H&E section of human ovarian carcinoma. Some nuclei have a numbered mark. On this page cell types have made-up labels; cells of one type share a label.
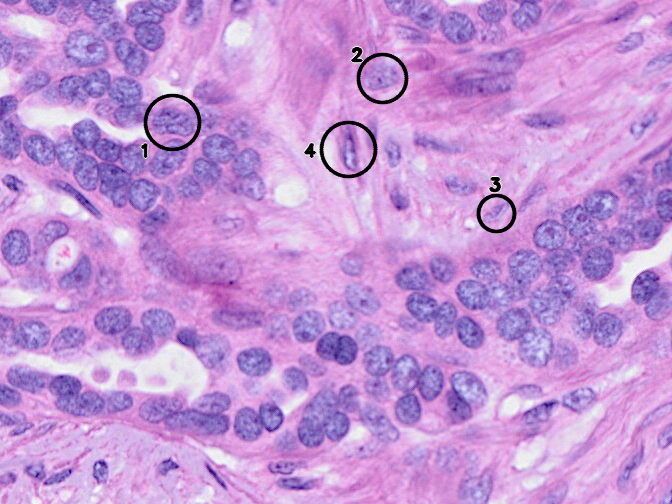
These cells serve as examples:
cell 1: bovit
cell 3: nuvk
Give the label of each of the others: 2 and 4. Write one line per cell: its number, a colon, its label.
2: nuvk
4: nuvk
